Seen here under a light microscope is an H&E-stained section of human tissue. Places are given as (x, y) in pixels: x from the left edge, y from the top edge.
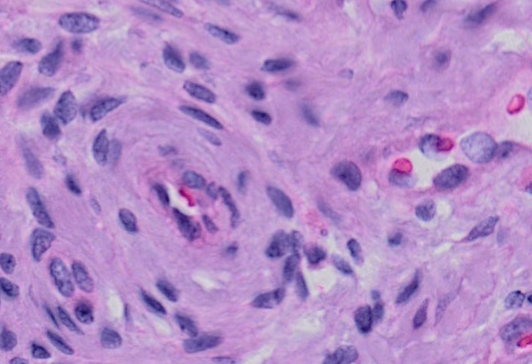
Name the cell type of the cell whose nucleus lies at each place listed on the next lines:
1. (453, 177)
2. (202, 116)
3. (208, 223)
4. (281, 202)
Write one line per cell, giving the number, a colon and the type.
1: endothelial cell
2: fibroblast
3: endothelial cell
4: fibroblast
